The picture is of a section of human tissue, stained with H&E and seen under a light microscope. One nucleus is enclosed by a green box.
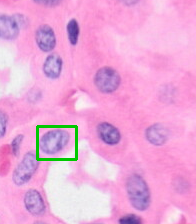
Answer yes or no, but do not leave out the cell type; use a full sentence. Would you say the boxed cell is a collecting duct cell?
Yes, the boxed cell represents a collecting duct cell in this tissue.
